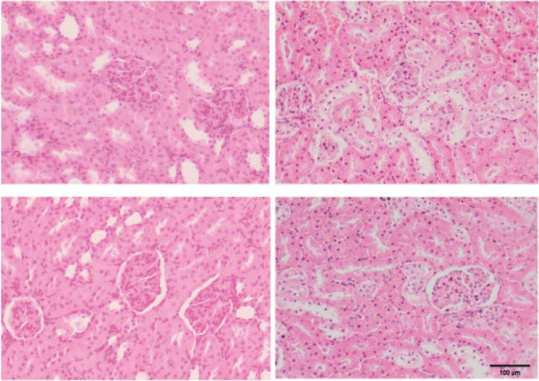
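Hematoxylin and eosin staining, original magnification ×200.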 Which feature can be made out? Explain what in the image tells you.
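Renal glomerulus. Round tufts of densely nucleated capillary loops lie within a clear rim of space. They are set among pink-staining tubules cut in cross and oblique section.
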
